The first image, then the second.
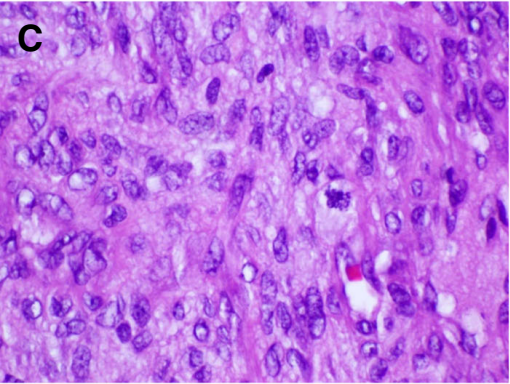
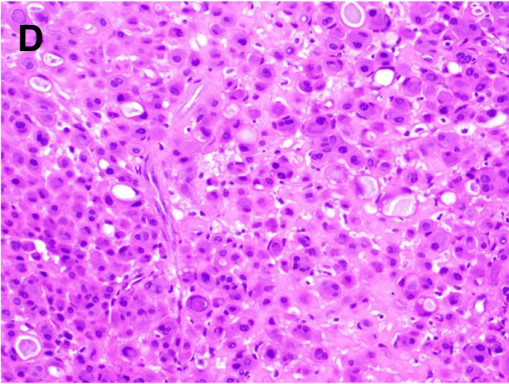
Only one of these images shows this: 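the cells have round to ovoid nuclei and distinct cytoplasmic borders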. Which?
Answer: the second image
